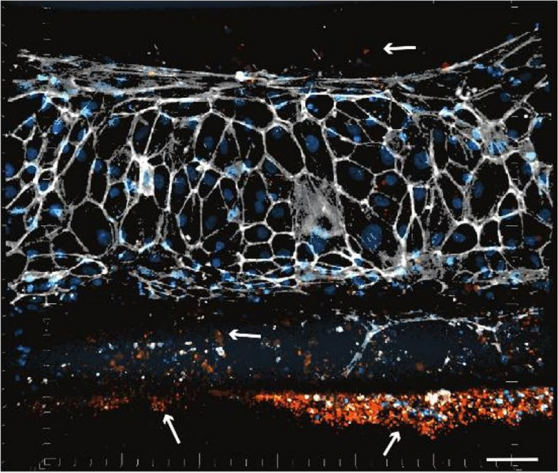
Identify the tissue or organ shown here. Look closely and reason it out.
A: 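A single layer of flattened cells with oval blue nuclei lines the structure. The answer: endothelial vessel.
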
